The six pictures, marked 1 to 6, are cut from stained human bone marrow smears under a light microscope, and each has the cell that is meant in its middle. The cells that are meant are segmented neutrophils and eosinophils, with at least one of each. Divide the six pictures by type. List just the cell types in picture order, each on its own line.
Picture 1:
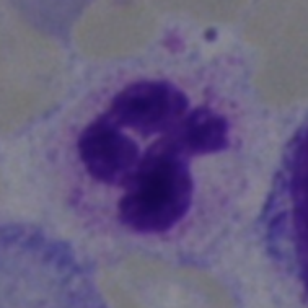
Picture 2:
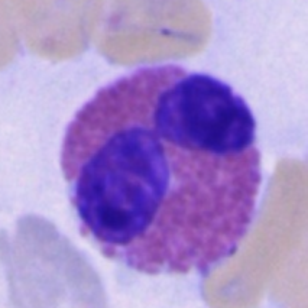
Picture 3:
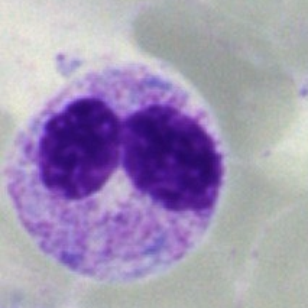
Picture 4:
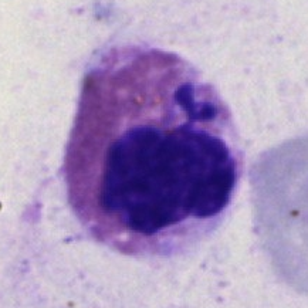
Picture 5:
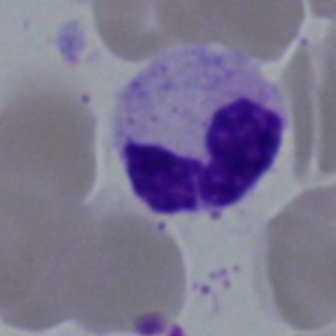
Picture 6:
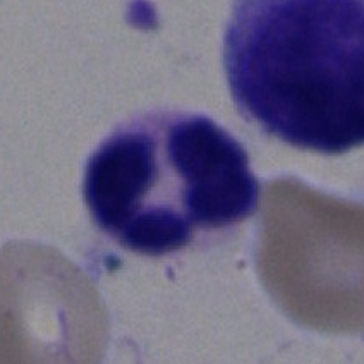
segmented neutrophil
eosinophil
segmented neutrophil
eosinophil
segmented neutrophil
segmented neutrophil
